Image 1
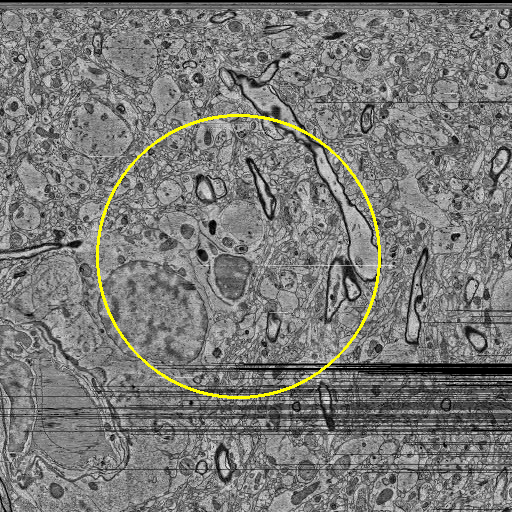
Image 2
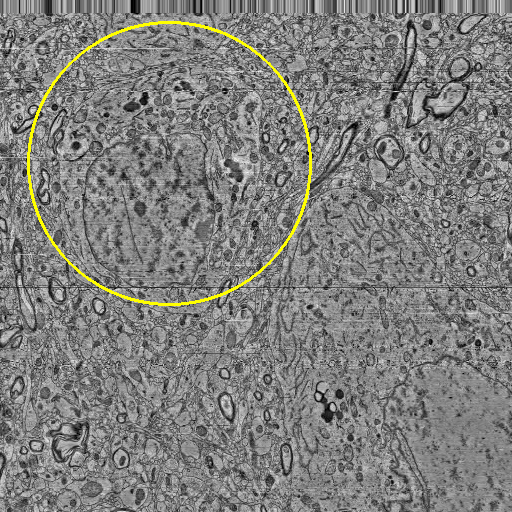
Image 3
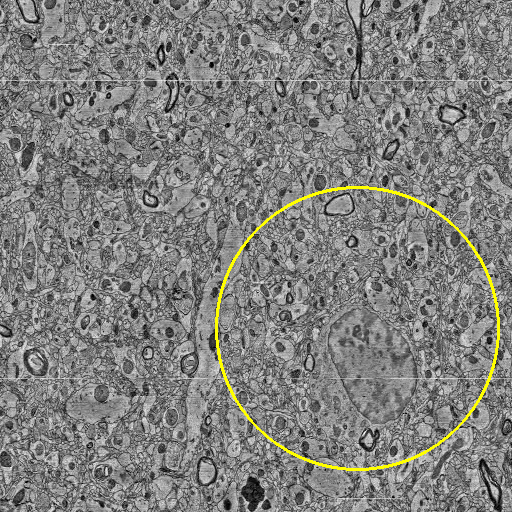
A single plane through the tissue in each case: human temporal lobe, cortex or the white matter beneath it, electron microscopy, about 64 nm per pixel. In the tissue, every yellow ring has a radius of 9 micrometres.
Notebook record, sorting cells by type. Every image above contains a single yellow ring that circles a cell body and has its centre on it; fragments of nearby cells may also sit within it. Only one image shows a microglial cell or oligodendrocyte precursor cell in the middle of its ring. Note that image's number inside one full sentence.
For image 1, the cell in the middle of its yellow ring is the match.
